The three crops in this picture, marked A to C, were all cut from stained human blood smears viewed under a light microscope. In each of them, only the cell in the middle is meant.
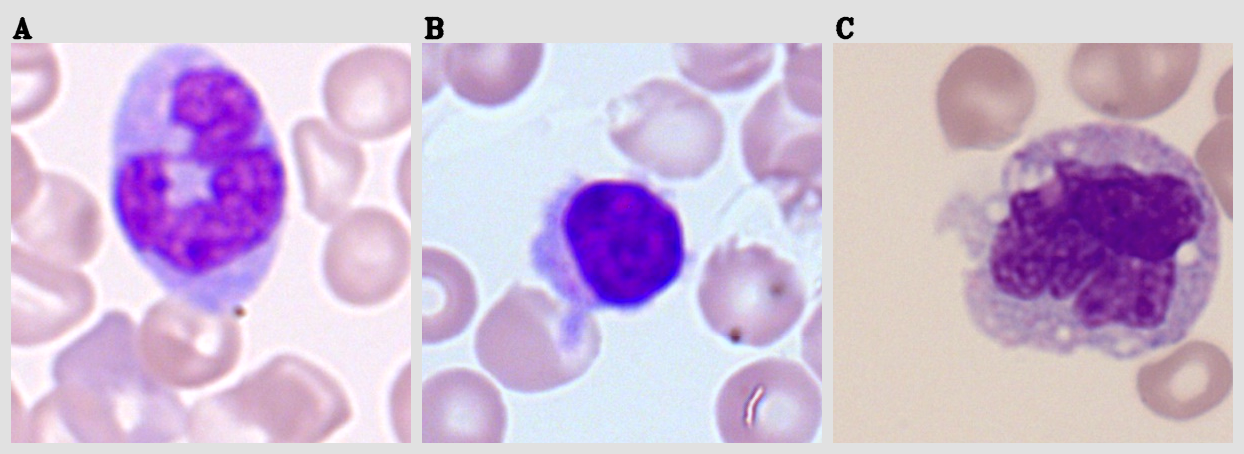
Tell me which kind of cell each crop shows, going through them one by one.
A: monocyte
B: lymphocyte
C: monocyte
